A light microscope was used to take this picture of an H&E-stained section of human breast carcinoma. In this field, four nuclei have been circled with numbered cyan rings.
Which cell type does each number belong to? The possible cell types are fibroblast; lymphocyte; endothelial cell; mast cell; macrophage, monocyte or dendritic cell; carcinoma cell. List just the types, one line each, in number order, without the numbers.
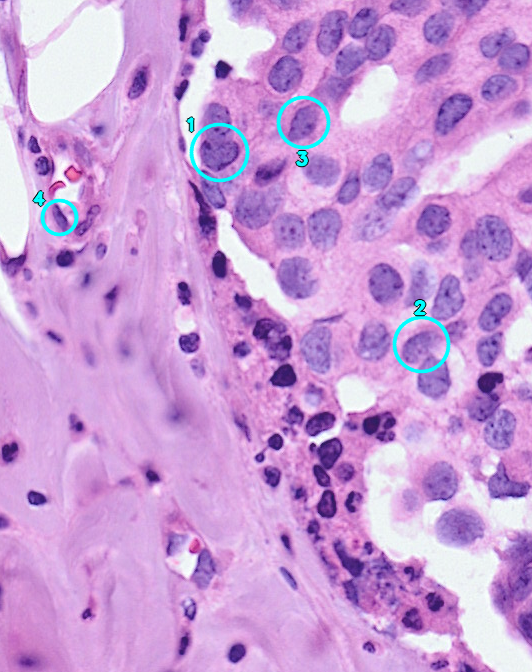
carcinoma cell
carcinoma cell
carcinoma cell
endothelial cell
